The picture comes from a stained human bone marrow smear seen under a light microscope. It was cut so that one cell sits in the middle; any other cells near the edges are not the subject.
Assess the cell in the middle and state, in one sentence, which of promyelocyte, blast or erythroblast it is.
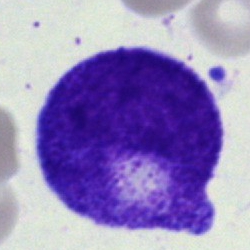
At the crop's centre, the cell is a promyelocyte.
